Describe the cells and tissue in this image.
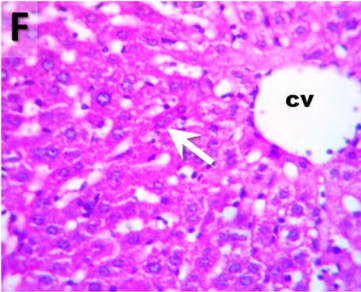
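This is liver tissue with cords of hepatocytes arranged around a central vein. The hepatocytes have pink cytoplasm and round nuclei, and some are binucleated, with two nuclei in one cell. Sinusoids appear as narrow clear spaces between the cords. Small, dark, elongated nuclei lie along the sinusoids and around the vein wall. The overall architecture of the cords is largely regular.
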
